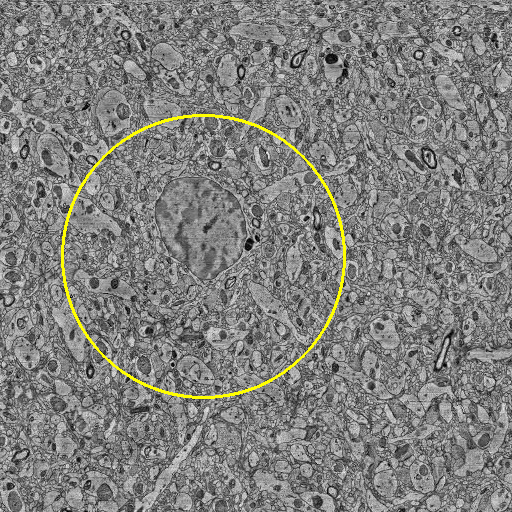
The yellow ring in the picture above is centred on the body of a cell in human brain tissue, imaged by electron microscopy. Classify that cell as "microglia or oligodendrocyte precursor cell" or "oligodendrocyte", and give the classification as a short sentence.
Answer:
The cell in the middle of the ring is a microglial cell or oligodendrocyte precursor cell.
